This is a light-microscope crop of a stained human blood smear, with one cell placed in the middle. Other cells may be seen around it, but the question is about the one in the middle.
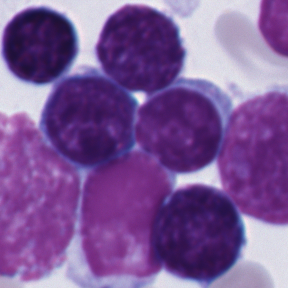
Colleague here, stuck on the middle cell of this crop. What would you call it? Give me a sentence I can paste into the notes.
Located at the centre of the crop is a myeloblast.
